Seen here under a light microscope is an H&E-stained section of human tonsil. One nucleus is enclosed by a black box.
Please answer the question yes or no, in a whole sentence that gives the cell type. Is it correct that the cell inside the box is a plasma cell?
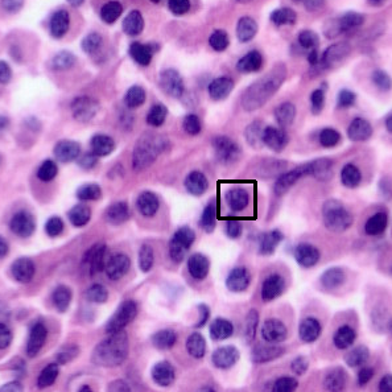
Yes, the cell inside the box is properly called a plasma cell in this section.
